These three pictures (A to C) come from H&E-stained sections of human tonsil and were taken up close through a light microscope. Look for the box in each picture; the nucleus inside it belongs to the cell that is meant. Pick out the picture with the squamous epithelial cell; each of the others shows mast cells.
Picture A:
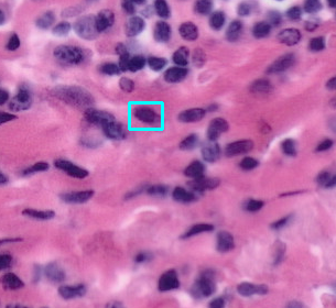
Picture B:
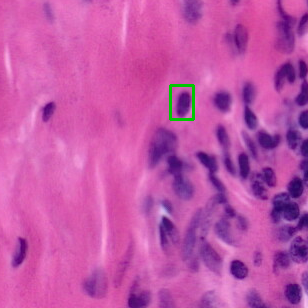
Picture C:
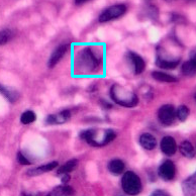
C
